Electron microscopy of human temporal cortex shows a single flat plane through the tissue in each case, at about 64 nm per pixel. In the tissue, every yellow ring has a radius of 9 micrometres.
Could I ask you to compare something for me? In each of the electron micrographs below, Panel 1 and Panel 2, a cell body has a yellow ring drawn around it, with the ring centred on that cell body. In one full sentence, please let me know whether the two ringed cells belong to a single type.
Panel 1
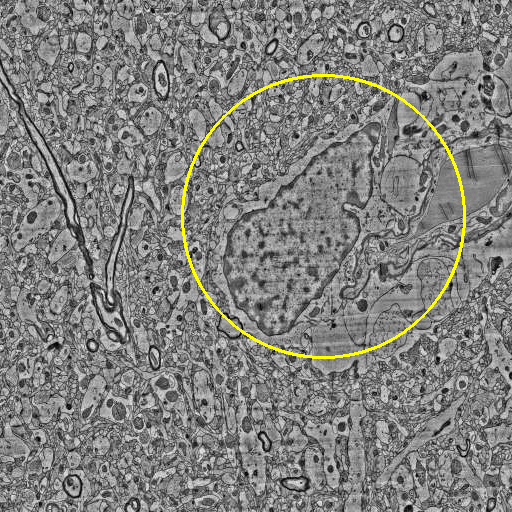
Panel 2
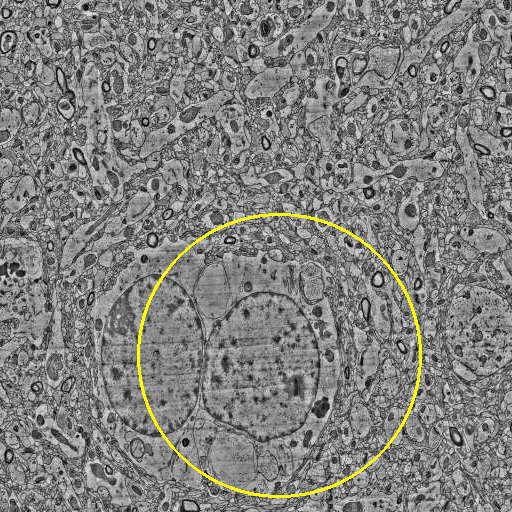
No, the two cells at the centres of the rings are of two types.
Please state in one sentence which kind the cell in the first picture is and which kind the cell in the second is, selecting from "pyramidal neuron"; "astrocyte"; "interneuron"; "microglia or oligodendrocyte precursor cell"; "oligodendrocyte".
The first ringed cell is a microglial cell or oligodendrocyte precursor cell, the second ringed cell an astrocyte.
